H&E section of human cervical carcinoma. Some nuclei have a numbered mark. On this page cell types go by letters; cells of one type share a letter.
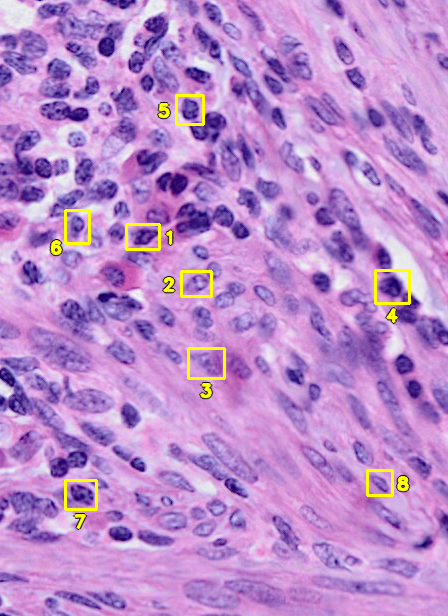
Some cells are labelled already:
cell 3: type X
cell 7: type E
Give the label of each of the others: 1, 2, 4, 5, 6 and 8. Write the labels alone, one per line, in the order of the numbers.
type E
type X
type E
type E
type E
type X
